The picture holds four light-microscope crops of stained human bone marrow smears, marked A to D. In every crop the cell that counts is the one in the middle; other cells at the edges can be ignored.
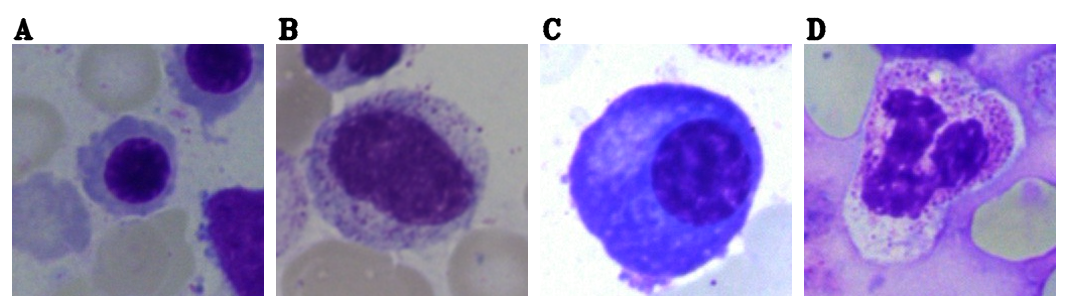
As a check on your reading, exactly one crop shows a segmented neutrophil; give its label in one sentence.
Within this set, crop D is the one with a segmented neutrophil at its center.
